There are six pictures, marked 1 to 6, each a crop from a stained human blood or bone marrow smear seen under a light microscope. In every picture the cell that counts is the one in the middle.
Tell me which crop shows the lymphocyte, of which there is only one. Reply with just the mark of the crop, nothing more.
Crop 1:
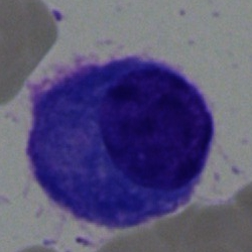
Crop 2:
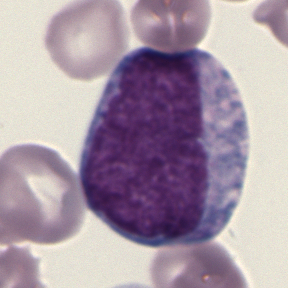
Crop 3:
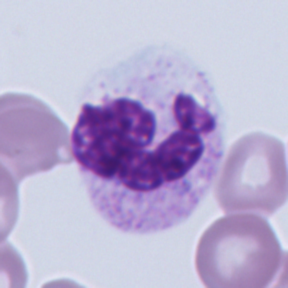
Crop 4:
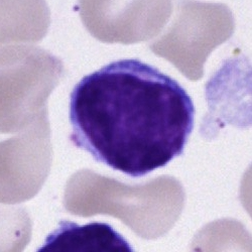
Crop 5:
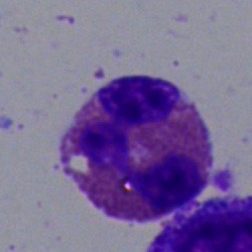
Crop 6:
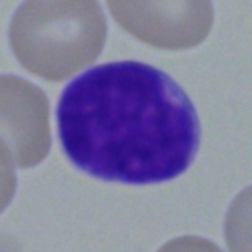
4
